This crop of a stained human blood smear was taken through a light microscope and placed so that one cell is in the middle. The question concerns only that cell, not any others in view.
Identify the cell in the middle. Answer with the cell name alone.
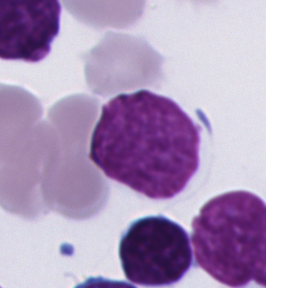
myeloblast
